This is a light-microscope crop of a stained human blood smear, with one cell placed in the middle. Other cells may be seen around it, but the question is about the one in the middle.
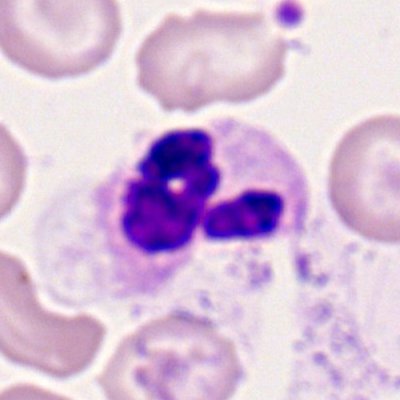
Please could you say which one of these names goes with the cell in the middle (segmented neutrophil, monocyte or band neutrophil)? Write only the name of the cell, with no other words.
segmented neutrophil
